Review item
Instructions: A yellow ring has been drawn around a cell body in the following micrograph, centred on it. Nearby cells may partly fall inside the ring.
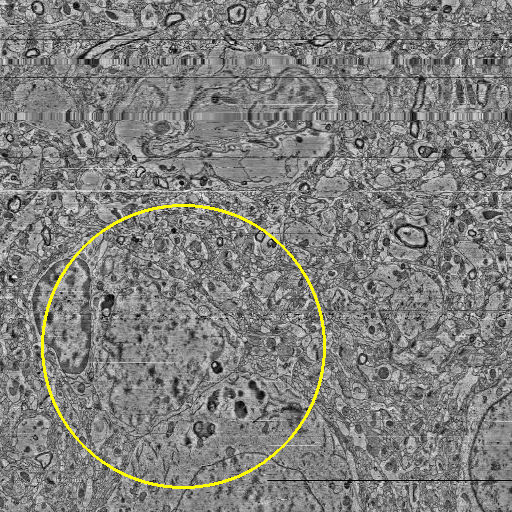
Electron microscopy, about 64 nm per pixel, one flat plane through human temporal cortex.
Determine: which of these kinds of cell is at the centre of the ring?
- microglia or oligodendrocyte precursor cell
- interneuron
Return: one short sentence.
The cell body in the middle of the ring is that of an interneuron.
